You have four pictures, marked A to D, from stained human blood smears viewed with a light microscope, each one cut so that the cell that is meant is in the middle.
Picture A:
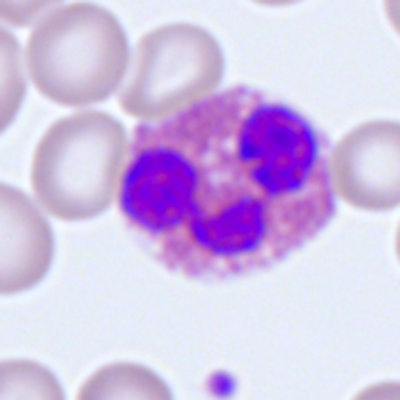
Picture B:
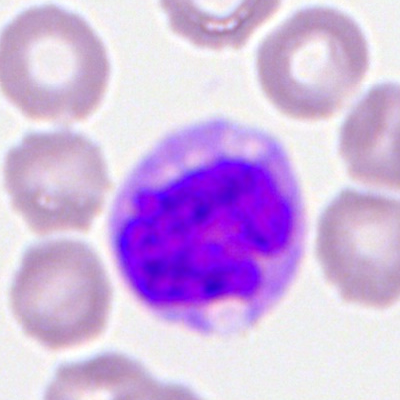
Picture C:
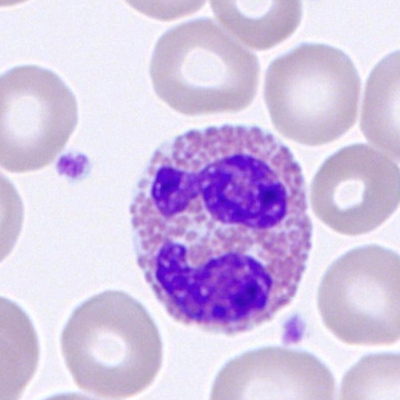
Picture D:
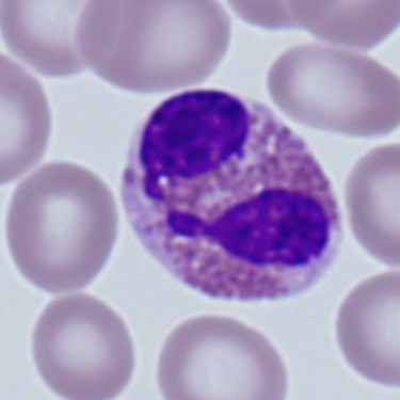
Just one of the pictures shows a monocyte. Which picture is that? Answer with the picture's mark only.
B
